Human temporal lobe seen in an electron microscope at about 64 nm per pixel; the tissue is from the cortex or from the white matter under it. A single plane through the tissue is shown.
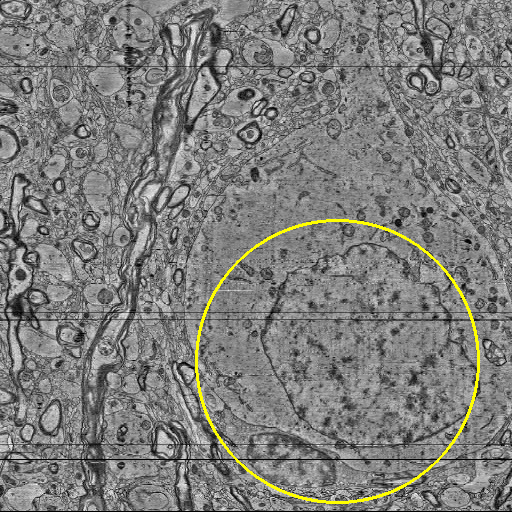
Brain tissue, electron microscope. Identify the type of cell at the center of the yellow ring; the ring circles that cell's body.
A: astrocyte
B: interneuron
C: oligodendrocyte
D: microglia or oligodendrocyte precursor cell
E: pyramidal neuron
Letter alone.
E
